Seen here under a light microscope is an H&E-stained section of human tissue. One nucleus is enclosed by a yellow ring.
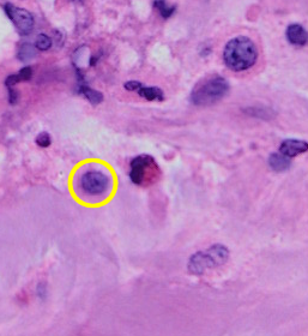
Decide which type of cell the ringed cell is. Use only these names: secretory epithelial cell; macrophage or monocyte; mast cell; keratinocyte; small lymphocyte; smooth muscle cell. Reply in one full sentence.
Assigned to a cell type, the ringed cell is a mast cell.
